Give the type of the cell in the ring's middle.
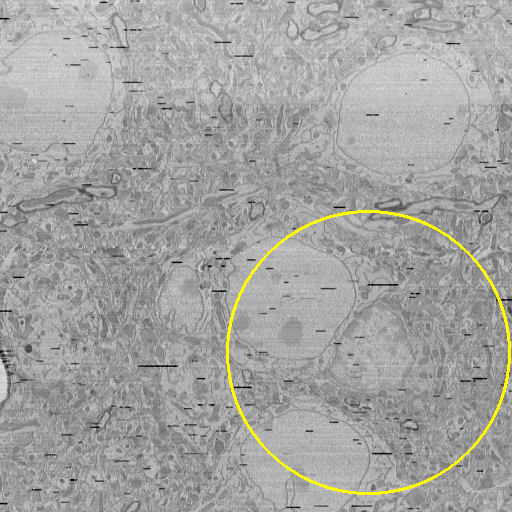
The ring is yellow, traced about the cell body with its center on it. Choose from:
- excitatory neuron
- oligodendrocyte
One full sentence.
Here, an oligodendrocyte is the cell lying at the center of the yellow ring.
